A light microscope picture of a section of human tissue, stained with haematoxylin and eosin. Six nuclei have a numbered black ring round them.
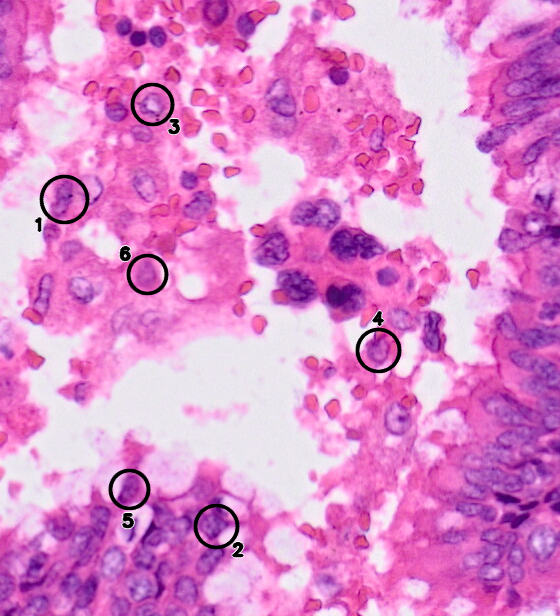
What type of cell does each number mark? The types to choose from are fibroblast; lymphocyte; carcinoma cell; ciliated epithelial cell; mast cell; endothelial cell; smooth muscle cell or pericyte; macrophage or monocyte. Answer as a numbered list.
1. macrophage or monocyte
2. ciliated epithelial cell
3. macrophage or monocyte
4. macrophage or monocyte
5. ciliated epithelial cell
6. macrophage or monocyte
